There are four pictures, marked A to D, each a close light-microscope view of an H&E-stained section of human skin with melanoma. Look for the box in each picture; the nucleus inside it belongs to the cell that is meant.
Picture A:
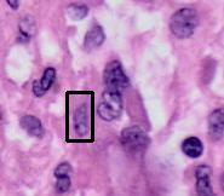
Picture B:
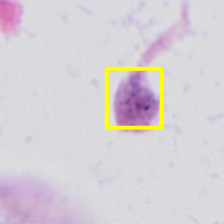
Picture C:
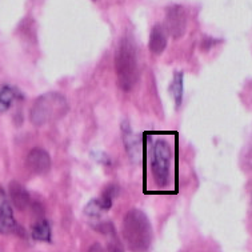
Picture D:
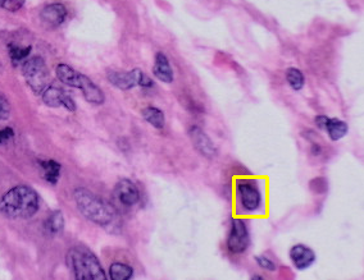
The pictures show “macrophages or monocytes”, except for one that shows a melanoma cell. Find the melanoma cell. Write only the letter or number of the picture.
B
